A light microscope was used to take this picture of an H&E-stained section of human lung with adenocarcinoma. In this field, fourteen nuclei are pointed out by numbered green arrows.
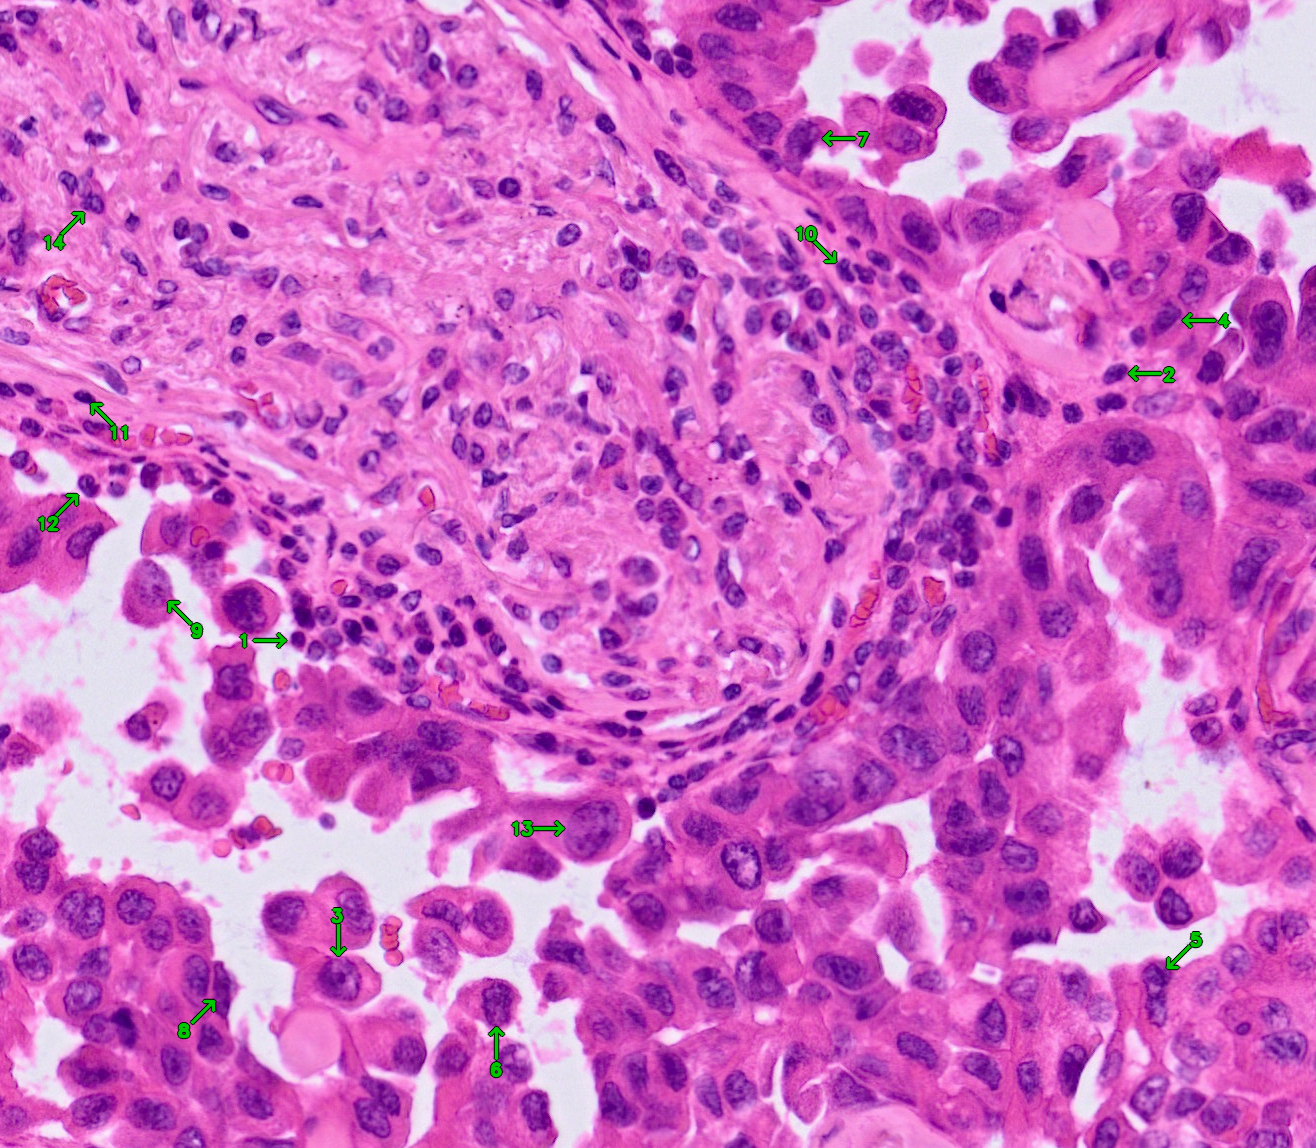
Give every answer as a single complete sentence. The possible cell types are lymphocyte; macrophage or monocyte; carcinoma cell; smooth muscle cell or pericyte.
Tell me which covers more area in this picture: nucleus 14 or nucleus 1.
The larger nucleus is 14, at roughly 1.5 times the area of 1.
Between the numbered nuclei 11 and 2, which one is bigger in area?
Nucleus 2 is larger, with an area about 1.5 times that of nucleus 11.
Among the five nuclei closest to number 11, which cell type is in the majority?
Around number 11, most of the five nearest nuclei are those of lymphocytes.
